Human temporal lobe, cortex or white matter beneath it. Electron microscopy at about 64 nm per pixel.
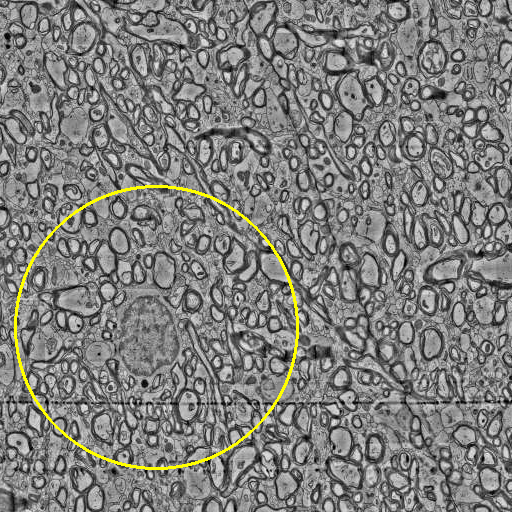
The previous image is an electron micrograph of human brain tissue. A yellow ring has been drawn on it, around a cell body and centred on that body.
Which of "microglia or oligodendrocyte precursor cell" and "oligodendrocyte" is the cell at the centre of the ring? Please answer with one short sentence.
The cell body at the centre of the ring belongs to an oligodendrocyte.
